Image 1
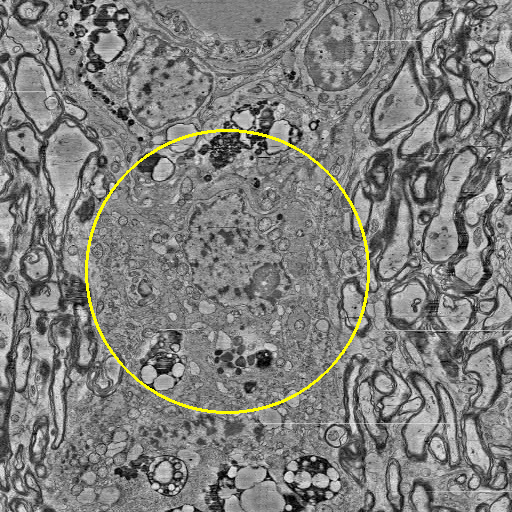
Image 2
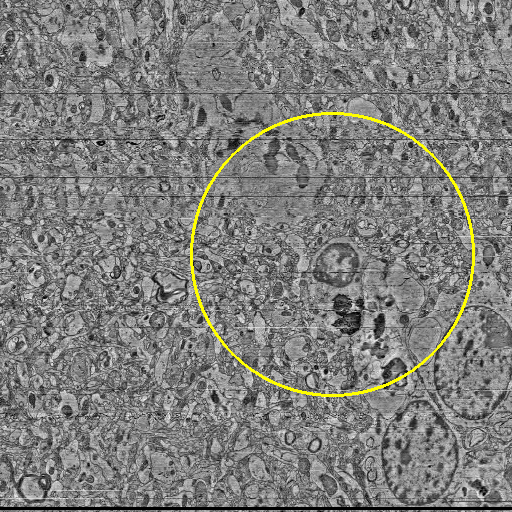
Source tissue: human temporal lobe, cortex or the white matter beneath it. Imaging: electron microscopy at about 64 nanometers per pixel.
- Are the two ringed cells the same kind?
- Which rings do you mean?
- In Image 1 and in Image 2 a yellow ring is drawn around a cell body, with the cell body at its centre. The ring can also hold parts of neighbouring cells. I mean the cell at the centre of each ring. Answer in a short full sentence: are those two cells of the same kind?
No, the cells are of two kinds.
